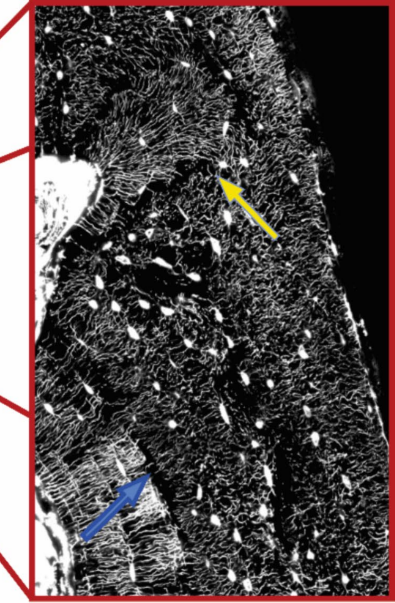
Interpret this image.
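Cortical bone showing osteocyte lacunae within a dense lacunocanalicular network. Bright oval to spindle-shaped lacunae are scattered through the matrix, many elongated in a common direction. Between them runs a fine, intricate web of thin bright canaliculi that branch and connect neighbouring lacunae. The web is not uniform: in places the threads change orientation abruptly along lines, giving interruptions of the network, and in one region the threads fan out radially. At the left edge a bright, featureless area borders the bone. Darker zones with fewer threads alternate with densely threaded zones.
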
